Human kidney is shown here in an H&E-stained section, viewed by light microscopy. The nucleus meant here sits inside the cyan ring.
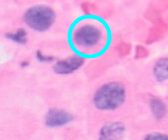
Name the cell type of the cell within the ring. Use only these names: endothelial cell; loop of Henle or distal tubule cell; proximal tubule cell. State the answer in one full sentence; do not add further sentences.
Histopathologically, the cell within the ring is an endothelial cell.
